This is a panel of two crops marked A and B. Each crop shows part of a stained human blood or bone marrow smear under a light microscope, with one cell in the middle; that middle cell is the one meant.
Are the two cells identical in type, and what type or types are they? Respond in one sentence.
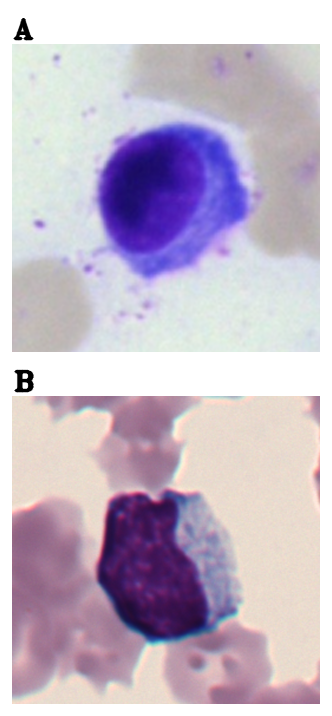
No, crop A captures a plasma cell, and crop B captures a lymphocyte.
